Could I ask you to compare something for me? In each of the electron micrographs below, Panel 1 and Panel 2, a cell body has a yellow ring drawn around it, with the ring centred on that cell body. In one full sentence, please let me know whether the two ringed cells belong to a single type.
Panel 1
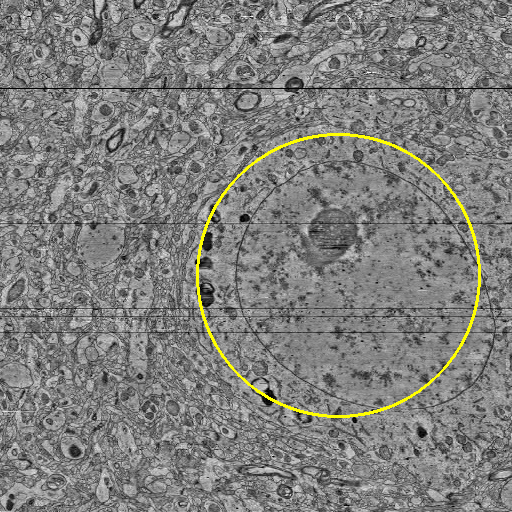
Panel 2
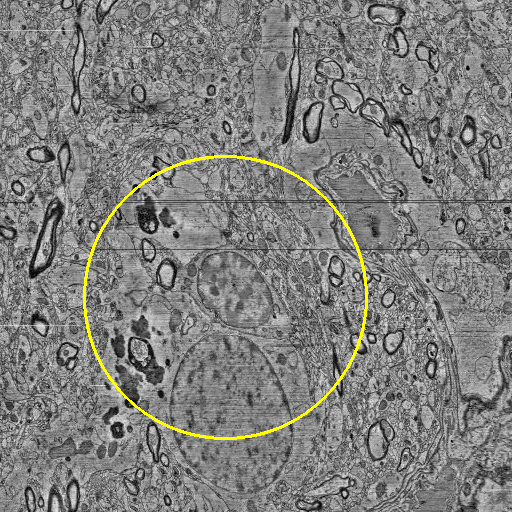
No, the two cells at the centres of the rings are of two types.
